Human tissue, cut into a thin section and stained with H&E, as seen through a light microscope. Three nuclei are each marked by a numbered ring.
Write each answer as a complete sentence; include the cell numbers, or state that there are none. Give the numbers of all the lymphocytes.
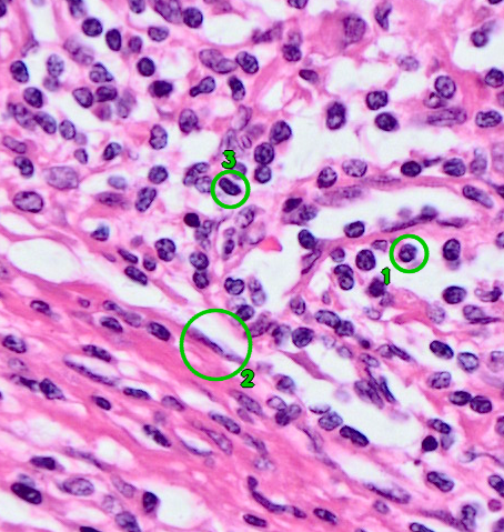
The cells tagged with numbers 1 and 3 are lymphocytes.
